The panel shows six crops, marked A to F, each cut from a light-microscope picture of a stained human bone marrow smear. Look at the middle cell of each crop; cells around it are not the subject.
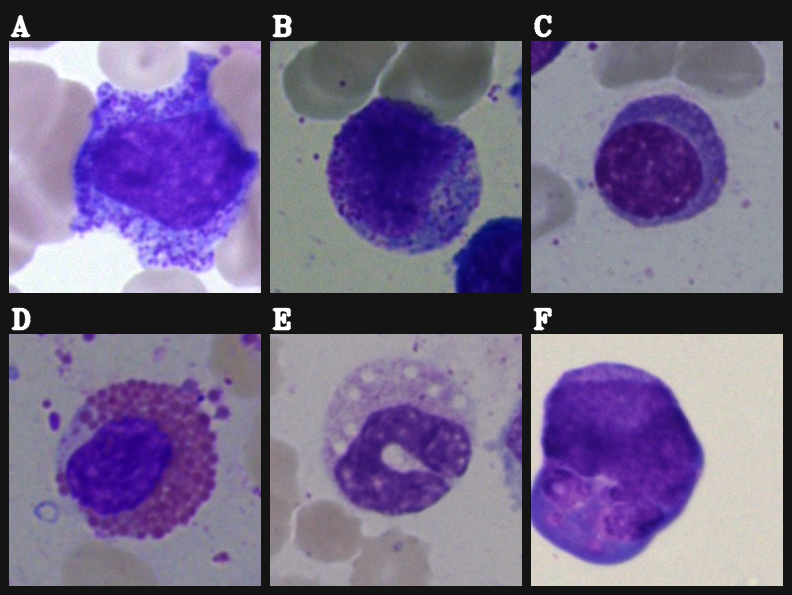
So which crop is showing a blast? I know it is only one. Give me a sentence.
In the set of crops, crop F is the one that contains a blast.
